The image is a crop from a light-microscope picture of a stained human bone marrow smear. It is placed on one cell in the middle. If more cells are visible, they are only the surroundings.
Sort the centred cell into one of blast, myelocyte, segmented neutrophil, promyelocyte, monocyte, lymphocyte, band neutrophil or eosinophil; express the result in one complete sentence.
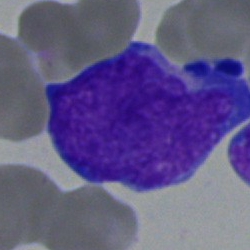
The cell marked by its central position in the crop is a blast.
